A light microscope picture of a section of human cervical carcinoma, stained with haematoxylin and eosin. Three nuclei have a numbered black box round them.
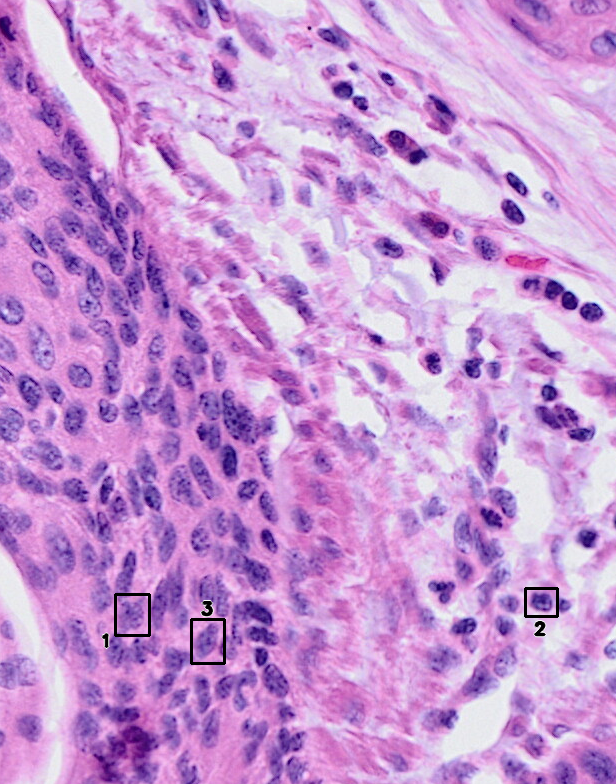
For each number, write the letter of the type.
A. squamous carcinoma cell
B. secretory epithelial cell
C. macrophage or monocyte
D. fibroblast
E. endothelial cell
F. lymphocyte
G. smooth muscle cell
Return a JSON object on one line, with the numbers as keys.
{"1": "A", "2": "F", "3": "A"}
